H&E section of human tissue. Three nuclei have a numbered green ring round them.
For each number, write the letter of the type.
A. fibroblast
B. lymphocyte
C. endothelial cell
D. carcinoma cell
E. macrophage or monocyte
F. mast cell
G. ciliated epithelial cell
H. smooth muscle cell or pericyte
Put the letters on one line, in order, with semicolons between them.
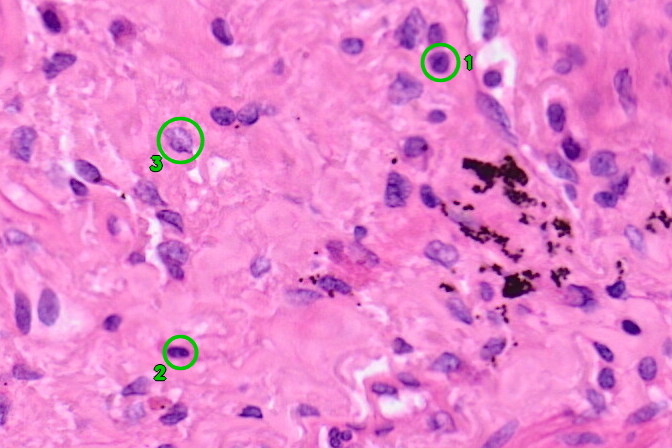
B; F; A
